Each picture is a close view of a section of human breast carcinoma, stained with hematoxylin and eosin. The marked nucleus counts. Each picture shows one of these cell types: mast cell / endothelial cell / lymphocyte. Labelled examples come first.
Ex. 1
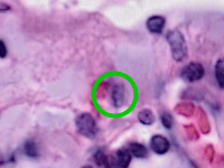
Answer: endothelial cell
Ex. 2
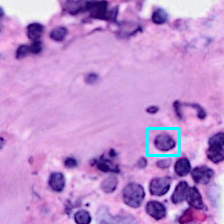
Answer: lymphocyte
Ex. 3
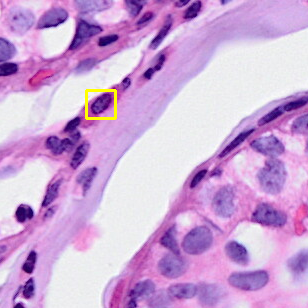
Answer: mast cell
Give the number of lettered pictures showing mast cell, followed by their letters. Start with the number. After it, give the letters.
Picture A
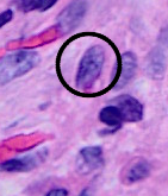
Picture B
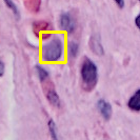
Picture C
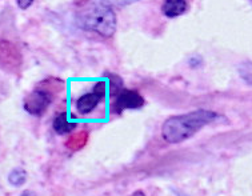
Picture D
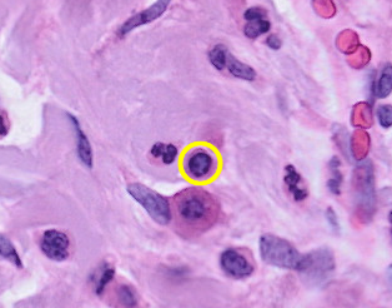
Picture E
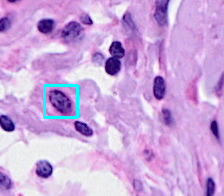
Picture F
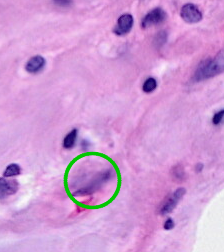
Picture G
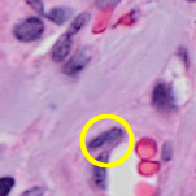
2: D, E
